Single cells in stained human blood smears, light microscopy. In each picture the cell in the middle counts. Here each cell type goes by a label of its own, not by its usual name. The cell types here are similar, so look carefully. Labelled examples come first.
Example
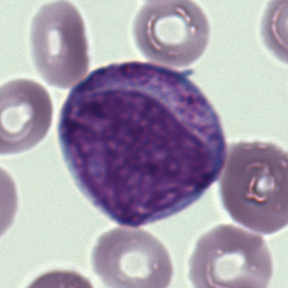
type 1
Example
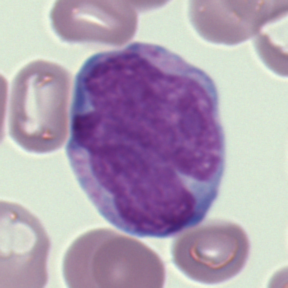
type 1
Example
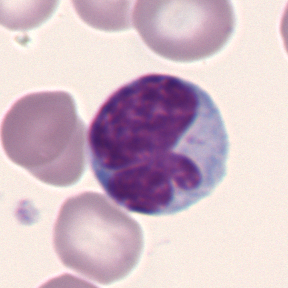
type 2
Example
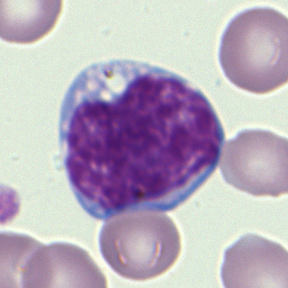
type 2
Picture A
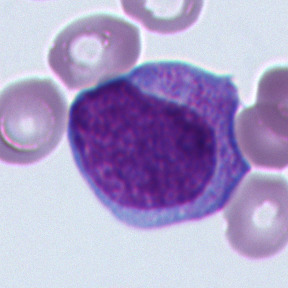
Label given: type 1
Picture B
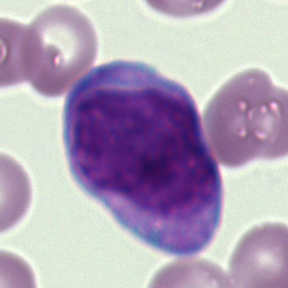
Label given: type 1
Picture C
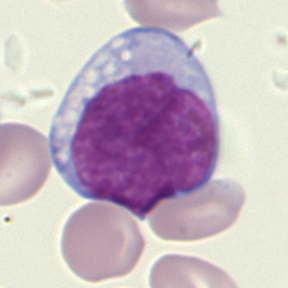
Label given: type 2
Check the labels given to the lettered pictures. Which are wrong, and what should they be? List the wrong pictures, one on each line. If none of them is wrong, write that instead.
Nothing to fix; every label fits.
